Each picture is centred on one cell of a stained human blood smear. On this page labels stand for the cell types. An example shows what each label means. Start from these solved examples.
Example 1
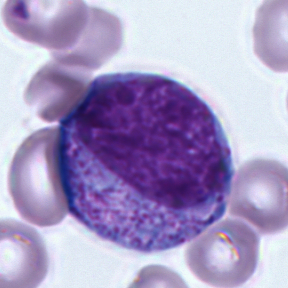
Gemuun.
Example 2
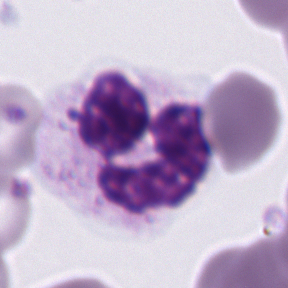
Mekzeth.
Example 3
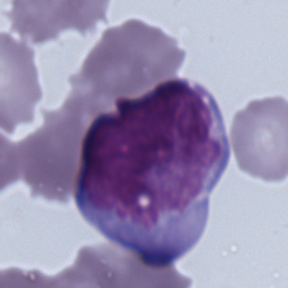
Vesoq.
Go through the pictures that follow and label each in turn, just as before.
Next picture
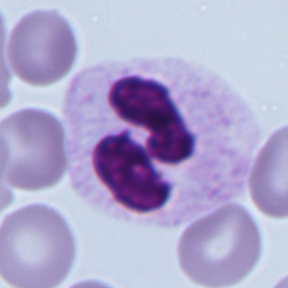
Mekzeth.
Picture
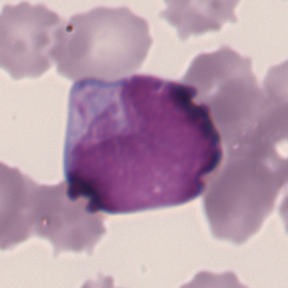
Vesoq.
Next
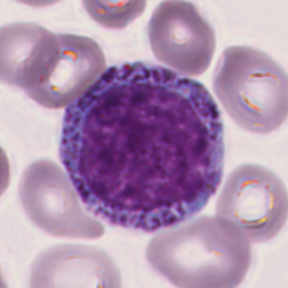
Gemuun.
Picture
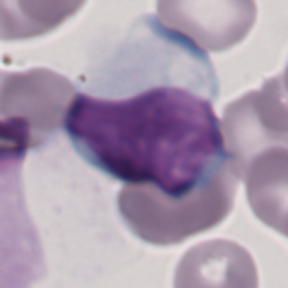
Vesoq.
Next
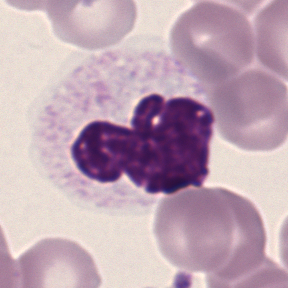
Mekzeth.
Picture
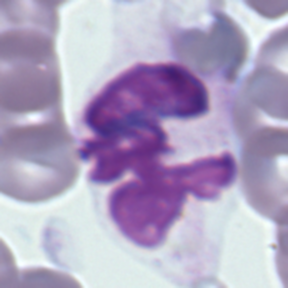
Mekzeth.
